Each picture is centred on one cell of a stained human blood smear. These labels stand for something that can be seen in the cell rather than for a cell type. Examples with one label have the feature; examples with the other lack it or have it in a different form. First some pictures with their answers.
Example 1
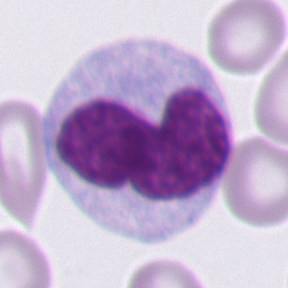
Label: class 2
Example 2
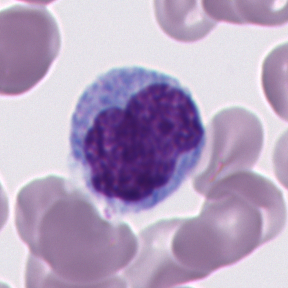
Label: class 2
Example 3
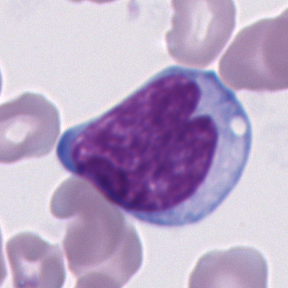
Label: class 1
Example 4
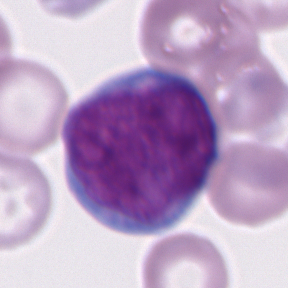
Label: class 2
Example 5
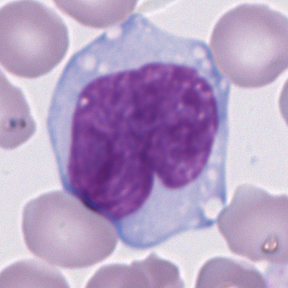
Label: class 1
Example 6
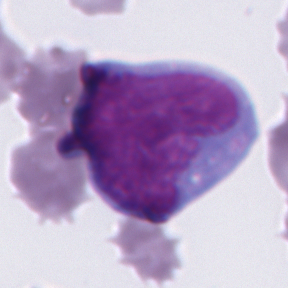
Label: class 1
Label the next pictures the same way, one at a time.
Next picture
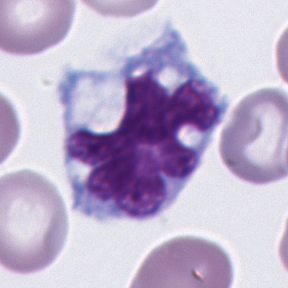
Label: class 1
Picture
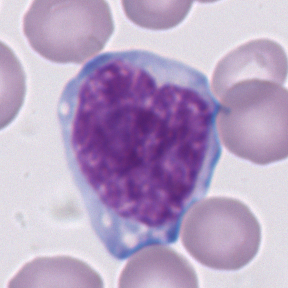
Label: class 1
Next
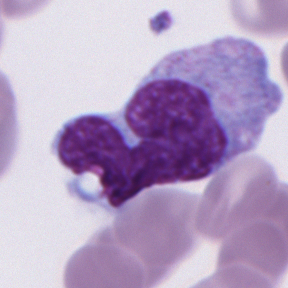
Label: class 1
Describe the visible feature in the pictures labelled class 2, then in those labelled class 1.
Seen in class 2: no vacuoles; seen in class 1: vacuoles present.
